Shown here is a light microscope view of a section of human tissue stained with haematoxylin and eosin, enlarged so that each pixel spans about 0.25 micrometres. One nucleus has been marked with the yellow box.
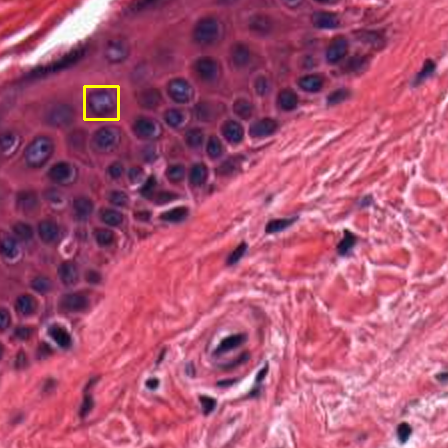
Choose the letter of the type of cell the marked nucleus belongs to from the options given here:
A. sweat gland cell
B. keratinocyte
B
